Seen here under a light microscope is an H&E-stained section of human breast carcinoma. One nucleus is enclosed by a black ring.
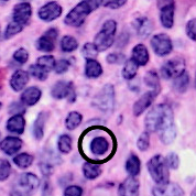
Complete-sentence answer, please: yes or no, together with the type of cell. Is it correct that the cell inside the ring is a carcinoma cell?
No, on this one the cell inside the ring is a lymphocyte, not a carcinoma cell.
